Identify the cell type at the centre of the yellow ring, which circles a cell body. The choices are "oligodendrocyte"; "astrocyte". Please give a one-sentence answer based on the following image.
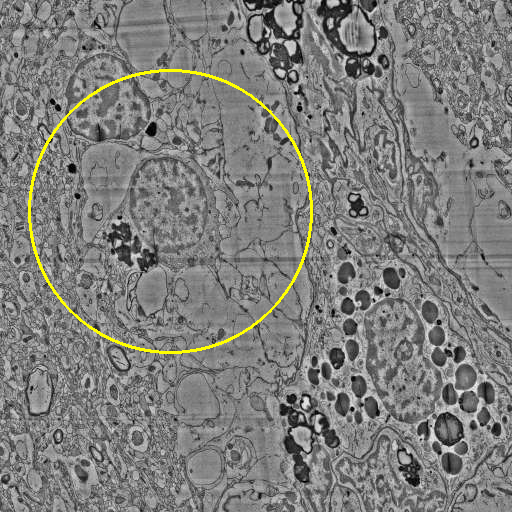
The cell marked by the ring is an oligodendrocyte.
